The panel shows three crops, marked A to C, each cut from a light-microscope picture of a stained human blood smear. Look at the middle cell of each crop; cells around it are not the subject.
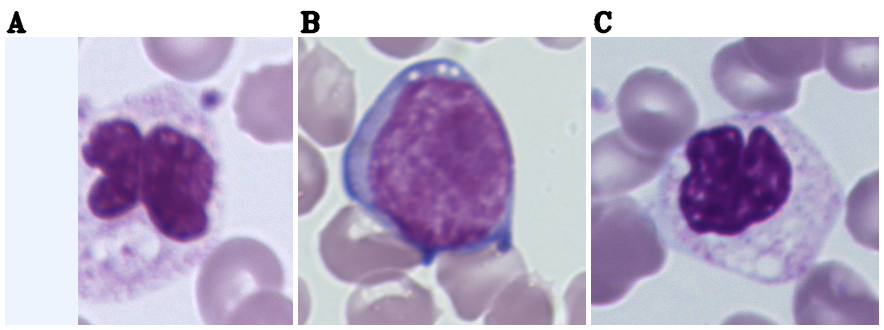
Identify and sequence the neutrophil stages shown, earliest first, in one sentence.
Starting from the least mature, the sequence proceeds crop B (a blast), crop C (a band neutrophil) and crop A (a segmented neutrophil).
